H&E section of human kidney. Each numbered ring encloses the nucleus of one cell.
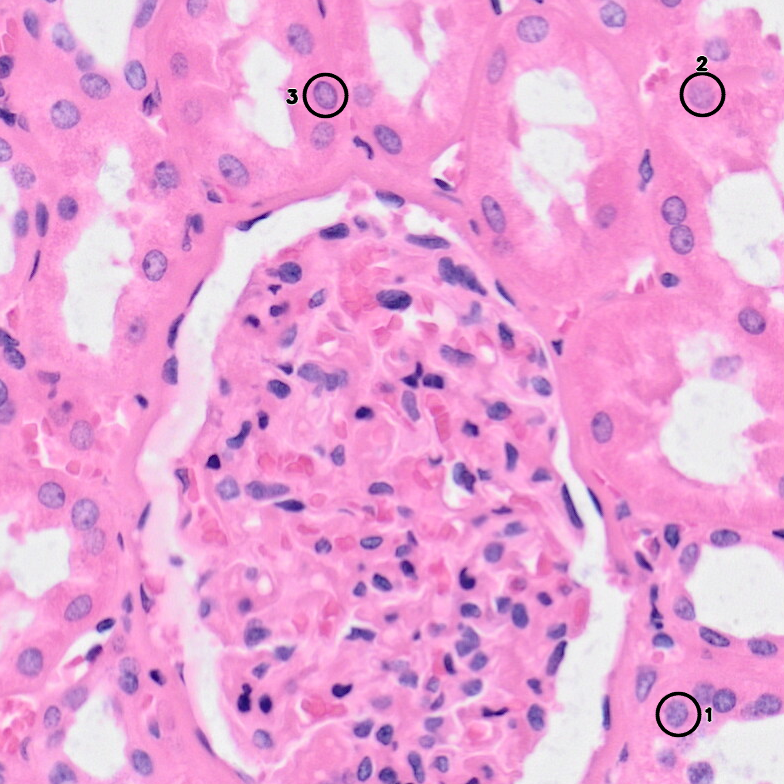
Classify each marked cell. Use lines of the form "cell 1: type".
cell 1: loop of Henle or distal tubule cell
cell 2: proximal tubule cell
cell 3: proximal tubule cell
